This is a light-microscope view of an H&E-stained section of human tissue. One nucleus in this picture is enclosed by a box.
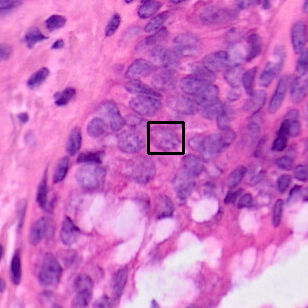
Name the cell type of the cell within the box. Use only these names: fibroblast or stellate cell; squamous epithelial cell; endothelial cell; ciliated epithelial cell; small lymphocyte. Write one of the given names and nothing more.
ciliated epithelial cell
